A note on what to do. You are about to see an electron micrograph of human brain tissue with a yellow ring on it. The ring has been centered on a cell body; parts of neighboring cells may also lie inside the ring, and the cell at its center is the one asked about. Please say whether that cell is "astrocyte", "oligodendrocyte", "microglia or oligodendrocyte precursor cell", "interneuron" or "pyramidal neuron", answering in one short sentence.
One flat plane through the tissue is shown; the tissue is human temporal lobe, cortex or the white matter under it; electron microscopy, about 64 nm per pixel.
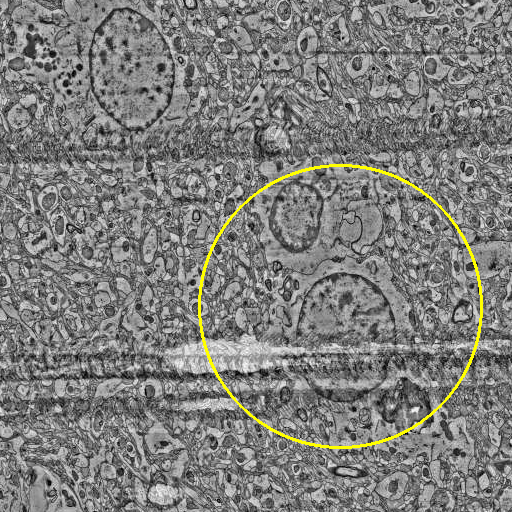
The yellow ring sits on an astrocyte.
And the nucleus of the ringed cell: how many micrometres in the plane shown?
Approximately 8 by 6 micrometers in this plane.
